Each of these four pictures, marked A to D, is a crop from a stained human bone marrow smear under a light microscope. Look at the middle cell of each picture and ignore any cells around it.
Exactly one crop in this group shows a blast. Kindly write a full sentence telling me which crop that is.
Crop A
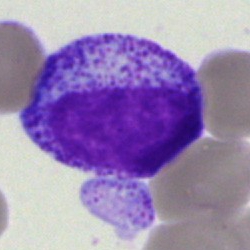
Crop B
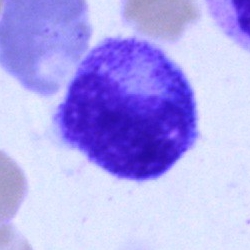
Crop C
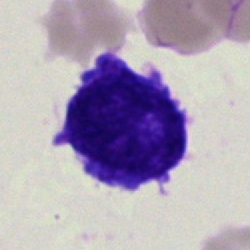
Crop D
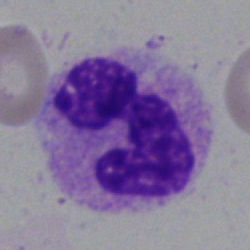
As for which crop shows a blast, it is crop C.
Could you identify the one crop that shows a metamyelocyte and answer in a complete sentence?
Crop B matches the request, showing a metamyelocyte.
